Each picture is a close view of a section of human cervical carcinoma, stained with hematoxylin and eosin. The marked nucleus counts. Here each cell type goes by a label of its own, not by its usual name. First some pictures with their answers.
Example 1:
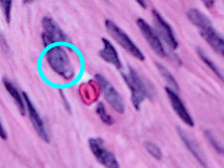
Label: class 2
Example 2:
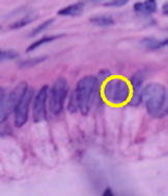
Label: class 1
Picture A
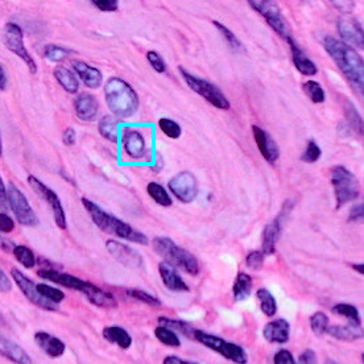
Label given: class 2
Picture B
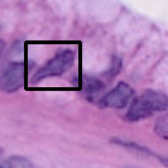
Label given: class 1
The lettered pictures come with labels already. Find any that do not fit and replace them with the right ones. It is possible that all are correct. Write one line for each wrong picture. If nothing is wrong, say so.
No label is wrong.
